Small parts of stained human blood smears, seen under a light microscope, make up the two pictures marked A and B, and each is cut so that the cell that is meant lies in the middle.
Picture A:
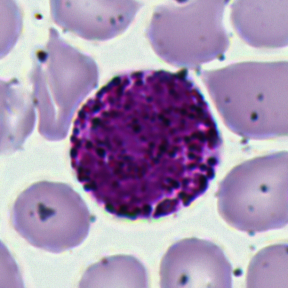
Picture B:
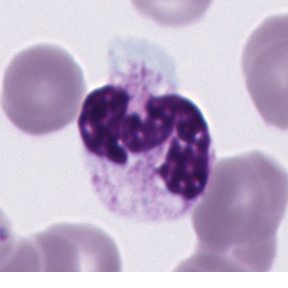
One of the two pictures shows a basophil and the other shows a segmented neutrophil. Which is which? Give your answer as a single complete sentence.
In picture A the cell is a basophil; in picture B, a segmented neutrophil.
